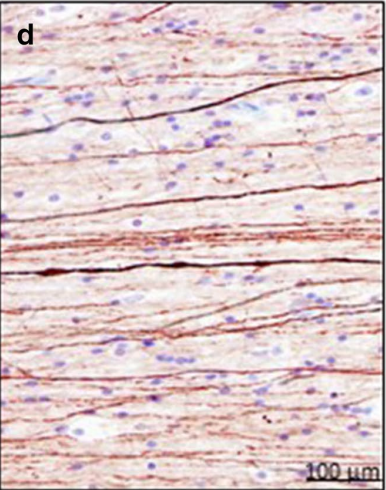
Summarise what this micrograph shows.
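This is white matter, in which long axons run in parallel, roughly horizontally across the whole field. The pale background between the stained fibres is finely fibrillar. A few small clear spaces are scattered among the fibres. No large neuronal cell bodies are present.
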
